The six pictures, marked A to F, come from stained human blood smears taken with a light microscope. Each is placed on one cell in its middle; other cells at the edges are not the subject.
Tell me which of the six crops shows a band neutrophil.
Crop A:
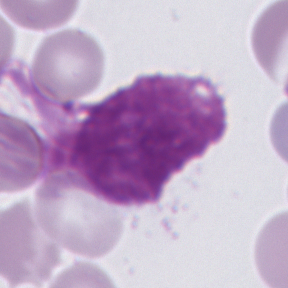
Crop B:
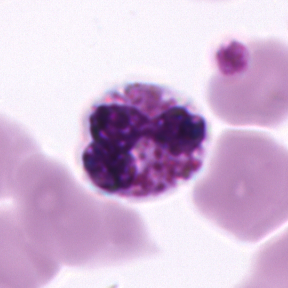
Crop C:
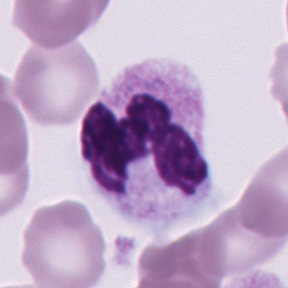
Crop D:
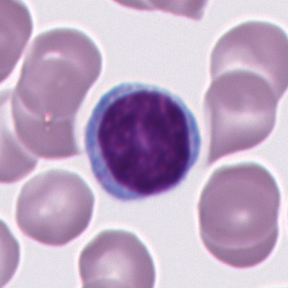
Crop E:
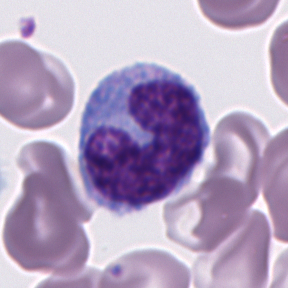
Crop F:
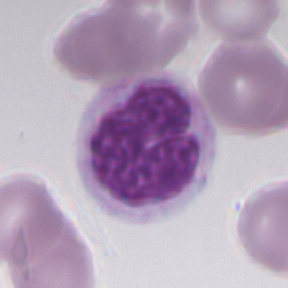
F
